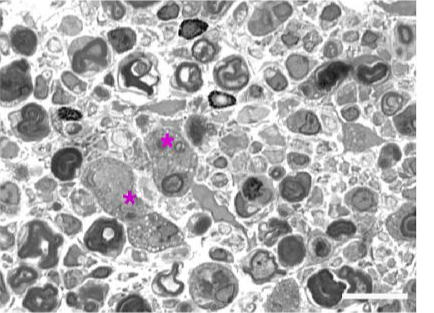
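Myelin sheaths appear as dark thickened rings, crescents and irregular ovoid fragments of varying size. Large rounded cells with pale, vacuolated, granular cytoplasm lie between the fibres, the form of foamy macrophages clearing debris. Some fibre profiles are still round with a dark myelin ring, while others are collapsed or folded.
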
